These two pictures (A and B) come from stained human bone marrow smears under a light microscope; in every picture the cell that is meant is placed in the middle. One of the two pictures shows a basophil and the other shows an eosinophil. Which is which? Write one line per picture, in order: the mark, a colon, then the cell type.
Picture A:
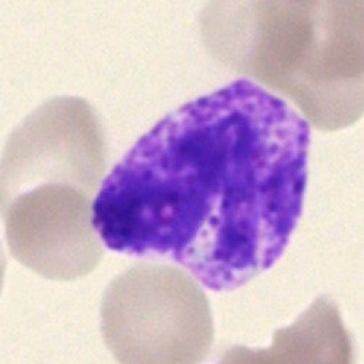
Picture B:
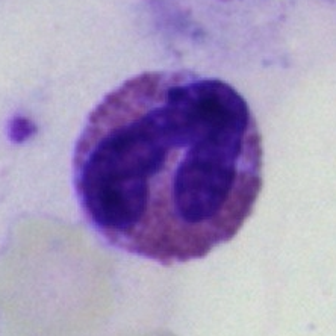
A: basophil
B: eosinophil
